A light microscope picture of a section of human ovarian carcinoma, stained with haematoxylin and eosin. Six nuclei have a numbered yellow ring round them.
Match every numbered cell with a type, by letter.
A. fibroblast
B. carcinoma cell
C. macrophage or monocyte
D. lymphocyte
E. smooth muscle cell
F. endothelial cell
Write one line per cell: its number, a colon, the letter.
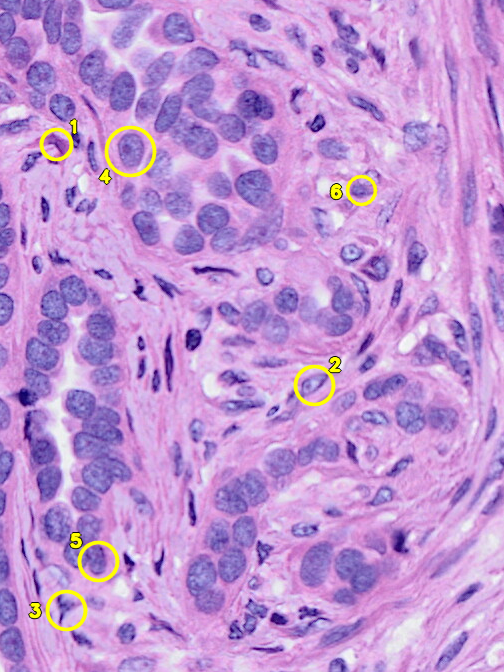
1: A
2: A
3: A
4: B
5: B
6: A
